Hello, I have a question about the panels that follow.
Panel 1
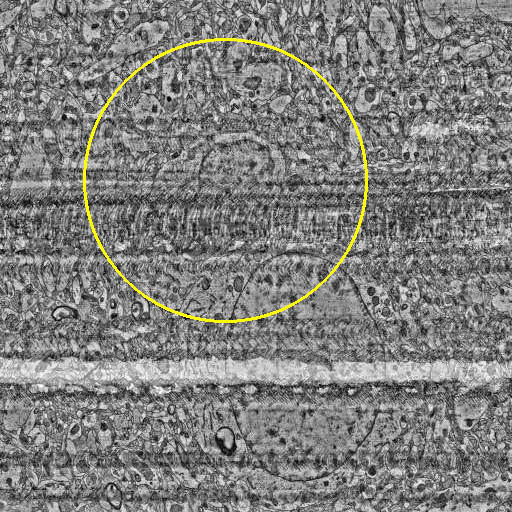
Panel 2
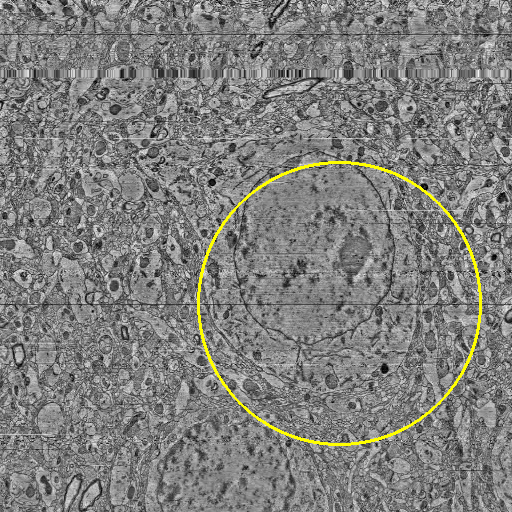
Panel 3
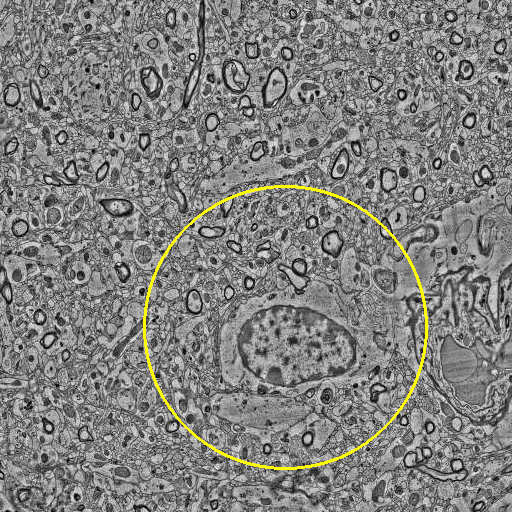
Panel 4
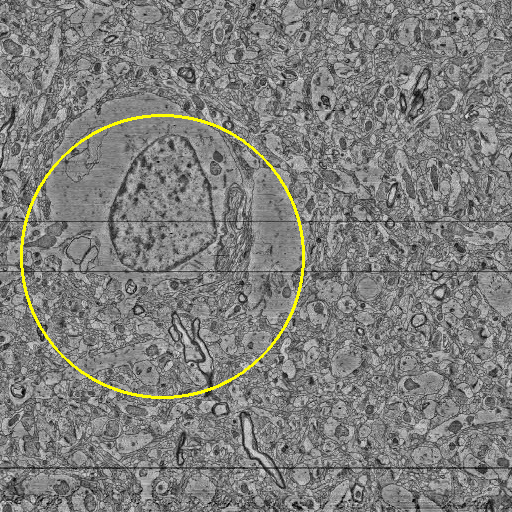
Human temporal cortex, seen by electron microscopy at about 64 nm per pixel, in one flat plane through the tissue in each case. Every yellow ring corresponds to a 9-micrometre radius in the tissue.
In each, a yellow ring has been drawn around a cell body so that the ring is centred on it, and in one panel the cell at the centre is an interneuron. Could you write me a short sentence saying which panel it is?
It is Panel 1.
